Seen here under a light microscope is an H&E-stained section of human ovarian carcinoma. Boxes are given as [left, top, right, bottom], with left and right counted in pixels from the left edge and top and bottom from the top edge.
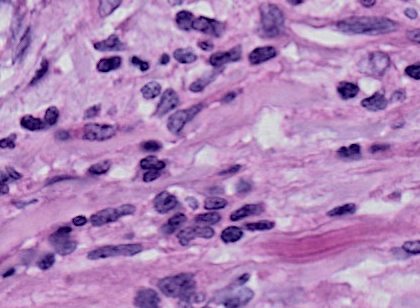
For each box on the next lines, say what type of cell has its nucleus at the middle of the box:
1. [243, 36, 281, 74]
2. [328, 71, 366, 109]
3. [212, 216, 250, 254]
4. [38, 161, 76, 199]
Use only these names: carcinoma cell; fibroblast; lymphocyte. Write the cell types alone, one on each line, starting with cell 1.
lymphocyte
lymphocyte
lymphocyte
fibroblast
